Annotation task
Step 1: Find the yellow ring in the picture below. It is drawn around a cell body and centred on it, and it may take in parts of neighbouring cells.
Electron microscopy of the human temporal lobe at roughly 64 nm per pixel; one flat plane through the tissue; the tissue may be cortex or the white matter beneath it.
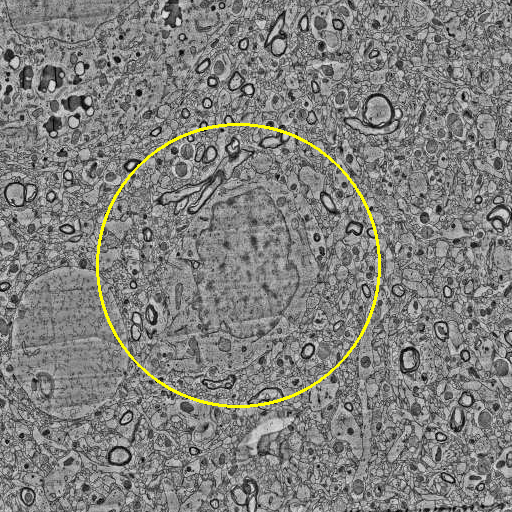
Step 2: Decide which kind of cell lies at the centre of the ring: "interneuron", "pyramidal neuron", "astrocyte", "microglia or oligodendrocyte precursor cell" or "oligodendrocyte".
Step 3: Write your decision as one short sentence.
The kind of cell at the ring's centre is an interneuron.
